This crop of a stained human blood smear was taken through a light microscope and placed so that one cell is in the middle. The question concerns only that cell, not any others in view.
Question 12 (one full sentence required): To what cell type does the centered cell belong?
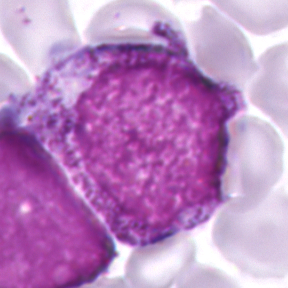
Of the cells in this crop, the central one is a myelocyte.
